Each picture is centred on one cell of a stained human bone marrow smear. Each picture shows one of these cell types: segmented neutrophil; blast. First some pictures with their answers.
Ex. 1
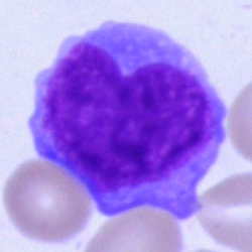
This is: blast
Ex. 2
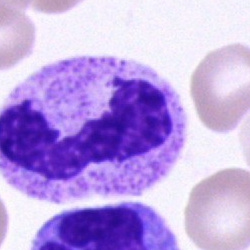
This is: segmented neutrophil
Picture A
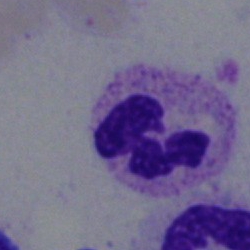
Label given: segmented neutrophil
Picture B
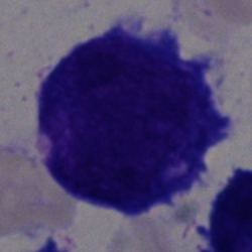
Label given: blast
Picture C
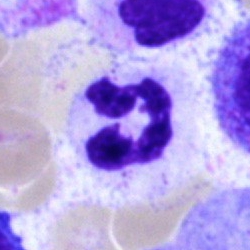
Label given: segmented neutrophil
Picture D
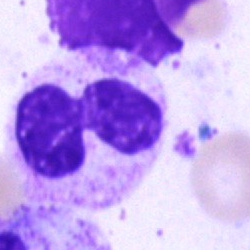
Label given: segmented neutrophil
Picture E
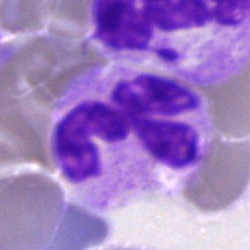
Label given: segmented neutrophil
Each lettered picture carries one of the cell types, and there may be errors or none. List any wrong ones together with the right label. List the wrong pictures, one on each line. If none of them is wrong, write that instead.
All correct.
